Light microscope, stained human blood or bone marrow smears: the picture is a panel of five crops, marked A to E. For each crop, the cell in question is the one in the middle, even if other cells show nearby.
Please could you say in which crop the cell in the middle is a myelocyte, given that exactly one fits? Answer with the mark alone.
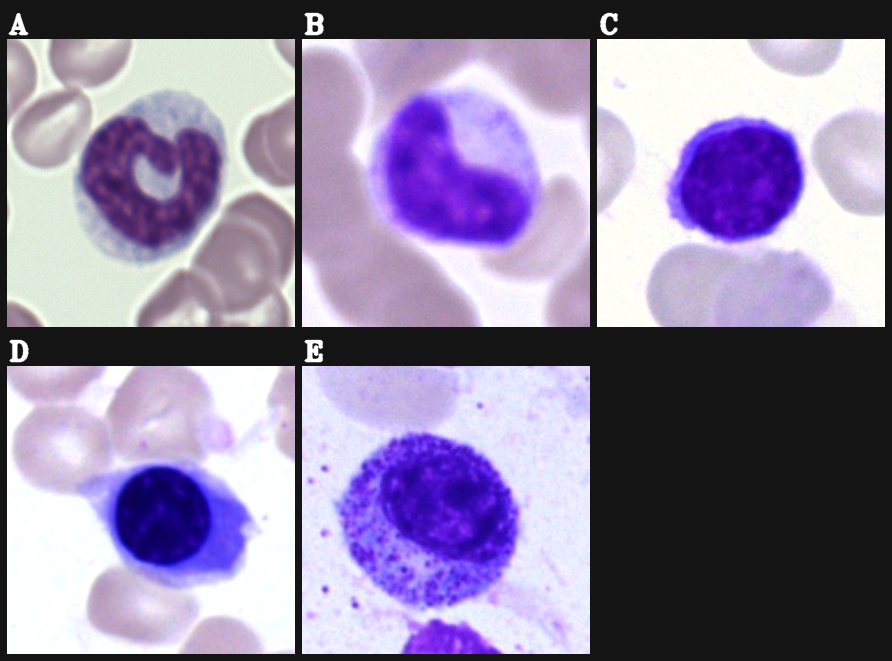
E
